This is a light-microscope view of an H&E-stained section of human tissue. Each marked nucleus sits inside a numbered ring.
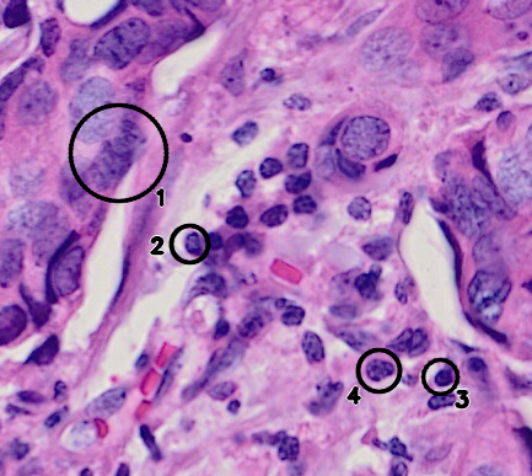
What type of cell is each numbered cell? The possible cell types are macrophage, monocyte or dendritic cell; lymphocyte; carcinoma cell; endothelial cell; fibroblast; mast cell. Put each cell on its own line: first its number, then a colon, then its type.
1: carcinoma cell
2: lymphocyte
3: lymphocyte
4: lymphocyte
